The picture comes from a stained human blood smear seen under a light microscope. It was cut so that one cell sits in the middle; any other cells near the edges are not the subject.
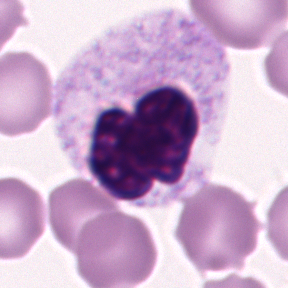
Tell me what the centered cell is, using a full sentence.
The central cell, amid any neighbouring cells, is a neutrophil.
